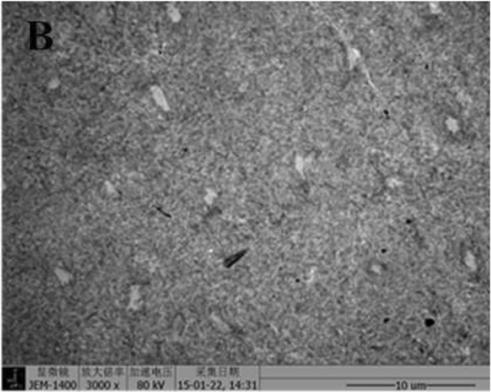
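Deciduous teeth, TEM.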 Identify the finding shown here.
Tubules with irregular shape, size, and pattern of organization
